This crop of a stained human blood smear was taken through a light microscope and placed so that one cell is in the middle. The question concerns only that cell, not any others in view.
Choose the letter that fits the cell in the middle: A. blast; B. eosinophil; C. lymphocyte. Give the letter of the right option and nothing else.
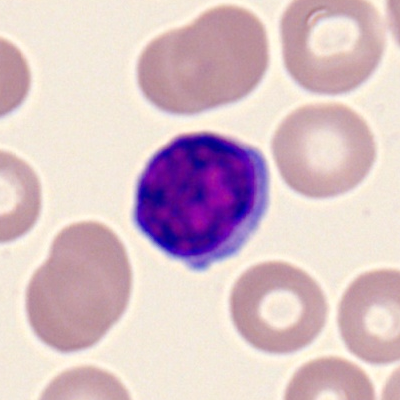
C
